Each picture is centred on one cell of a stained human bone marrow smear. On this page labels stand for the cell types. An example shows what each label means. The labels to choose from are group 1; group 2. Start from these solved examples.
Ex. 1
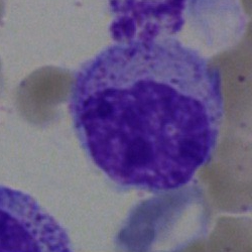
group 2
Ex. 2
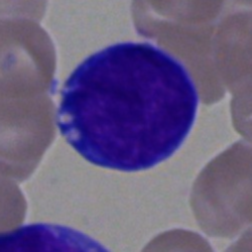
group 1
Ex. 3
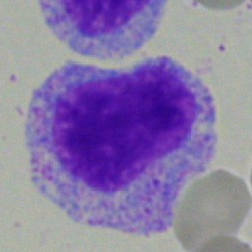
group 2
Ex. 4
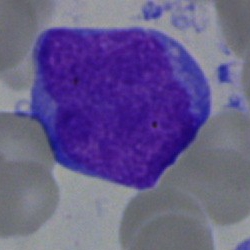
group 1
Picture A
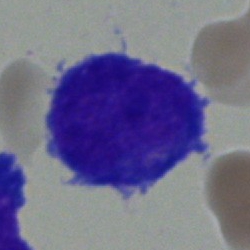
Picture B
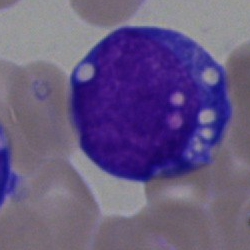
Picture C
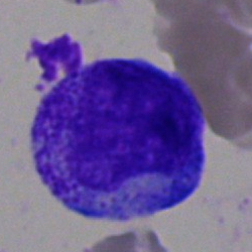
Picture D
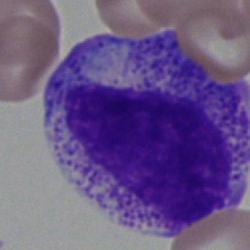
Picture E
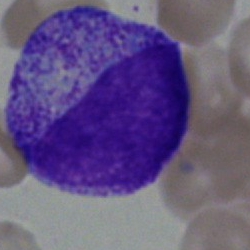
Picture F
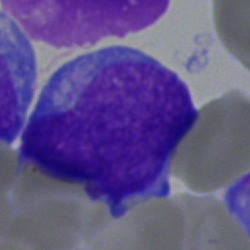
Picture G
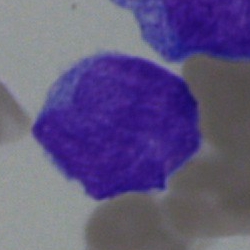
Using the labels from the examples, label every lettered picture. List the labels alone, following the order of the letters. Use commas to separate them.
group 1, group 1, group 2, group 2, group 2, group 1, group 1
